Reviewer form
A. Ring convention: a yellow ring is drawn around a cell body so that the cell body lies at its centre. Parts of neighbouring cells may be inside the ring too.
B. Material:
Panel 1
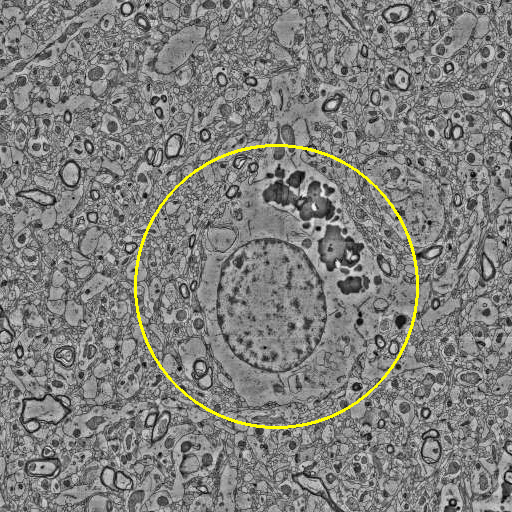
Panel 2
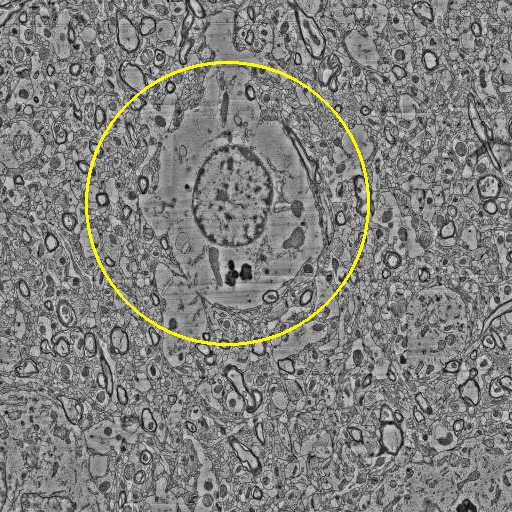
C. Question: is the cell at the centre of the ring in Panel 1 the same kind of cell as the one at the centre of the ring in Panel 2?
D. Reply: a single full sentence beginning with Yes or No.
Yes, the cells in Panel 1 and Panel 2 are the same kind of cell.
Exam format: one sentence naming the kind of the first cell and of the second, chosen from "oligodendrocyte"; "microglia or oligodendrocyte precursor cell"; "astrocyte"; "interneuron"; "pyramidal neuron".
Each of the two rings surrounds an astrocyte.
